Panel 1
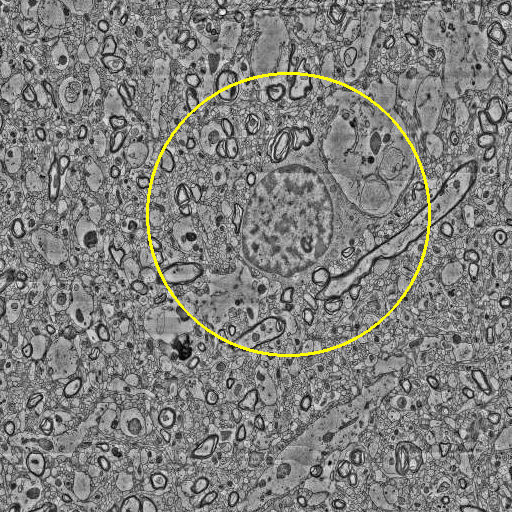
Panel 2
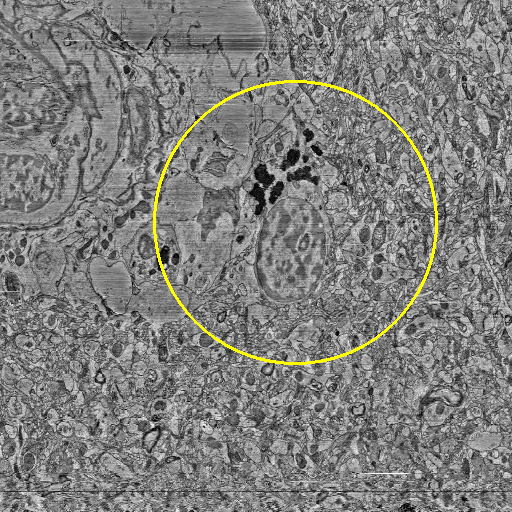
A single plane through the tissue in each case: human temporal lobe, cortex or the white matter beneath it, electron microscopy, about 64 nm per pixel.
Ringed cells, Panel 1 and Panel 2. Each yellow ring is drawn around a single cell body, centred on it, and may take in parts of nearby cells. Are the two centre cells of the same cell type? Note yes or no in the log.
yes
